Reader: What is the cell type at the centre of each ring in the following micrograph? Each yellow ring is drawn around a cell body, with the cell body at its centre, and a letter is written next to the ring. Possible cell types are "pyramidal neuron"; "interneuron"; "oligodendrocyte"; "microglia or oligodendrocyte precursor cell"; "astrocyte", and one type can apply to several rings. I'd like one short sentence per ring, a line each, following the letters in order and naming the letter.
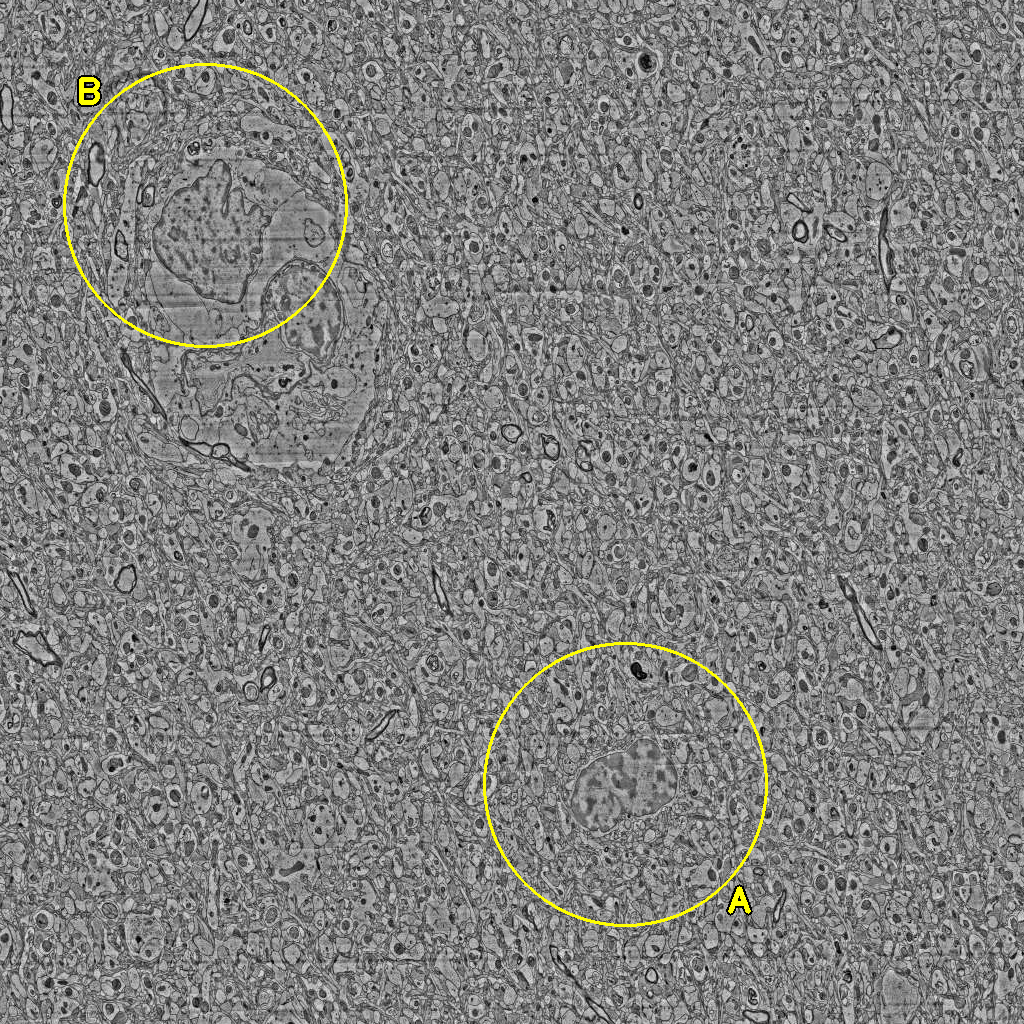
The cell body at the centre of ring A is that of a microglial cell or oligodendrocyte precursor cell.
The cell body at the centre of ring B is that of a microglial cell or oligodendrocyte precursor cell.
